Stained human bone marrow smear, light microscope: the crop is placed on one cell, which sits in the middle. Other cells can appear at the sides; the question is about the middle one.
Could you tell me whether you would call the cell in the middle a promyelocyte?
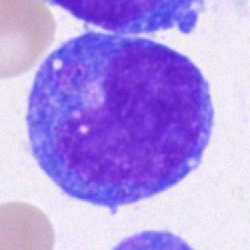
yes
